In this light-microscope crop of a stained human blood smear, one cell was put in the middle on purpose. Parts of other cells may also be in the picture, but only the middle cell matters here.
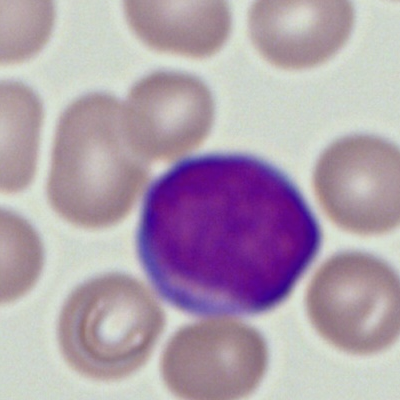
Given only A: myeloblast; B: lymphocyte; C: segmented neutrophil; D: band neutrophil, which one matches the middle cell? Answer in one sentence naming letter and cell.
The one cell at the centre is a myeloblast, as correctly stated in option A.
